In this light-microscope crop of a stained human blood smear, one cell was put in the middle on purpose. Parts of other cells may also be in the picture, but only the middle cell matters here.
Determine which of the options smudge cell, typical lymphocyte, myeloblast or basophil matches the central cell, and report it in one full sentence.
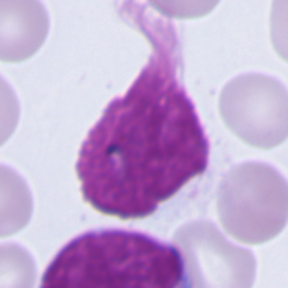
As for the central cell, it is a smudge cell.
